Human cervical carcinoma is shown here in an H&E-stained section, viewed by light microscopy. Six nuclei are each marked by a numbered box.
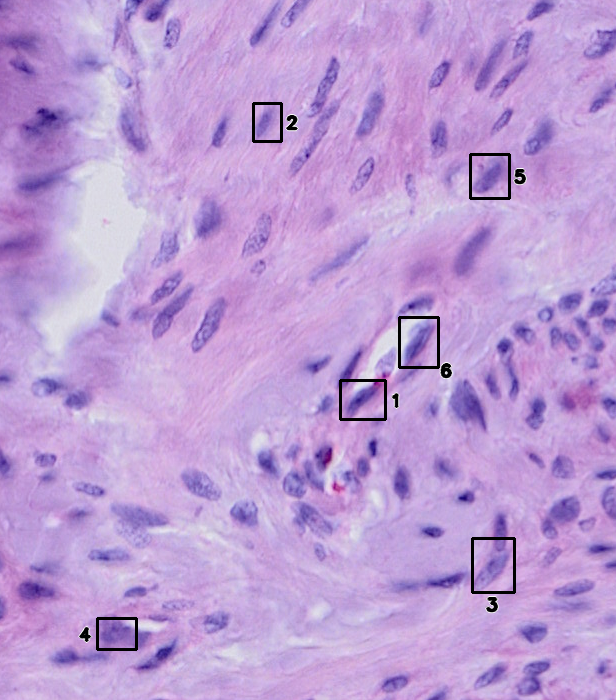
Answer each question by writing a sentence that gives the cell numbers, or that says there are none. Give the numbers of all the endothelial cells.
To be specific, the cells numbered 1, 4 and 6 are endothelial cells.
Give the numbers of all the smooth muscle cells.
Mind that only cell 3 is a smooth muscle cell, none of the rest.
